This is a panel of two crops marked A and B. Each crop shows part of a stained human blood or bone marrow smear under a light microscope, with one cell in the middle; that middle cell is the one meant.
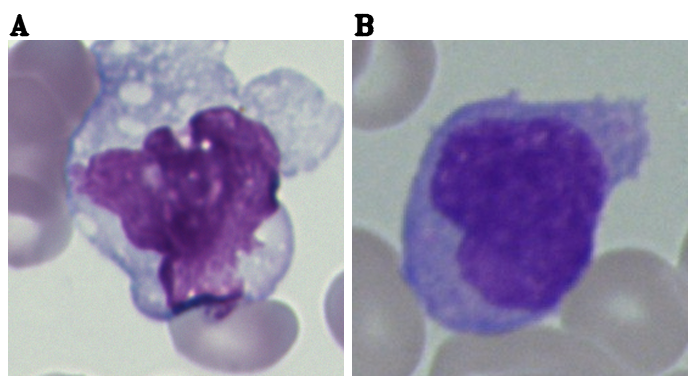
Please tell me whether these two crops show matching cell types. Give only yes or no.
yes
